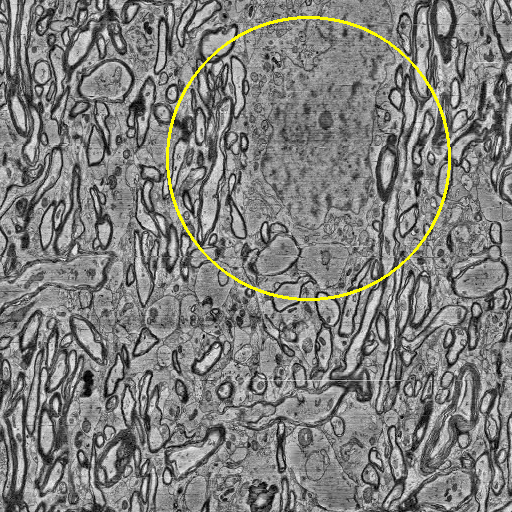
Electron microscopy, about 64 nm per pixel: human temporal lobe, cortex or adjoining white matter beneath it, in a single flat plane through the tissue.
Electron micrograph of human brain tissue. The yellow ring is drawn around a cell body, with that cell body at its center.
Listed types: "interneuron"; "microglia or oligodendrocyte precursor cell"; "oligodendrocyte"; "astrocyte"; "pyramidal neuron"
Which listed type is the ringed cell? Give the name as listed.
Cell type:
interneuron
